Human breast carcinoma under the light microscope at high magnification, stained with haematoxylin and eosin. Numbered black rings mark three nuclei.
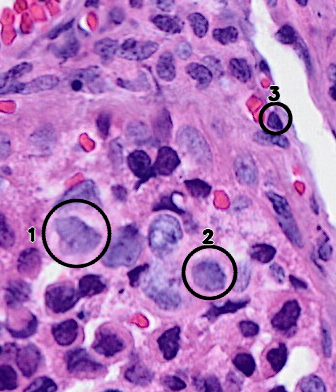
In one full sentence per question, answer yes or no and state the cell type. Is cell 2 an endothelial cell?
No, cell 2 is not an endothelial cell at all but a carcinoma cell.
